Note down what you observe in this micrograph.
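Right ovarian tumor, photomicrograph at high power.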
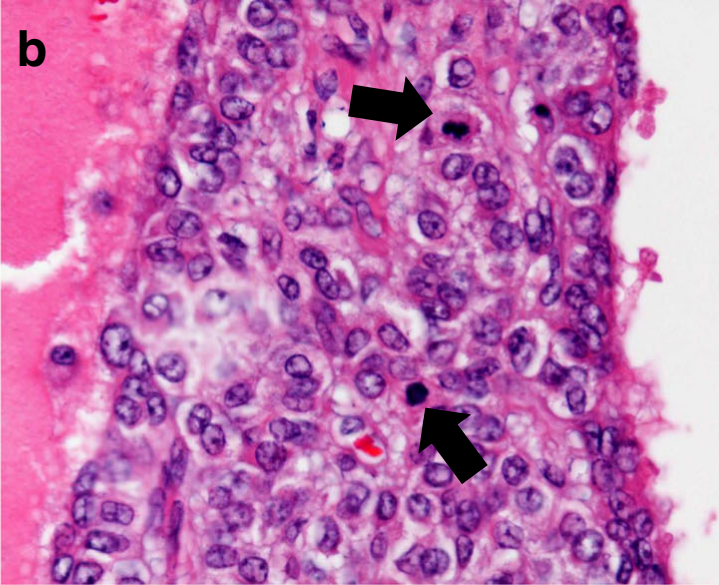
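Several cells show mitoses, seen as compact, very dark, condensed chromatin masses. Pink eosinophilic material borders the cell layer on one side.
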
